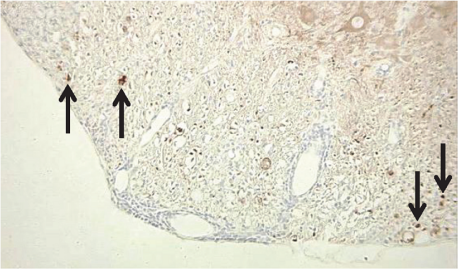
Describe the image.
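This is spinal cord white matter, seen as a pale, finely meshed field of cross-cut nerve fibers. Toward the upper right the background turns more diffusely brownish, and an open blood vessel with a few bluish nuclei around it lies in the lower middle.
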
